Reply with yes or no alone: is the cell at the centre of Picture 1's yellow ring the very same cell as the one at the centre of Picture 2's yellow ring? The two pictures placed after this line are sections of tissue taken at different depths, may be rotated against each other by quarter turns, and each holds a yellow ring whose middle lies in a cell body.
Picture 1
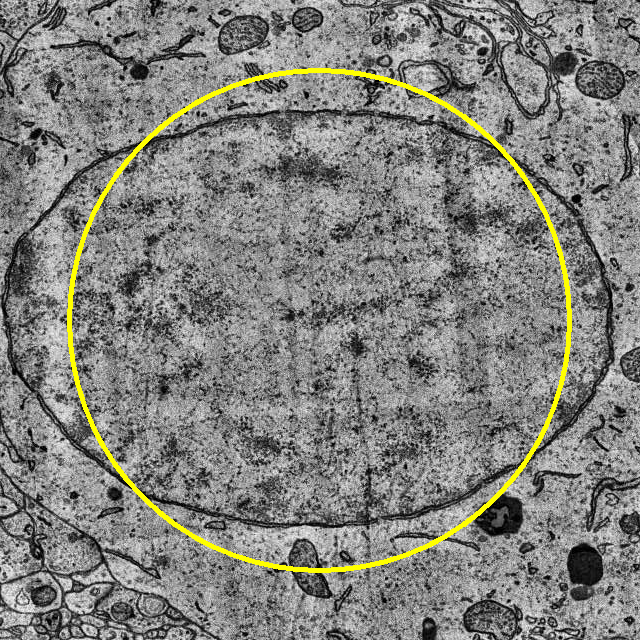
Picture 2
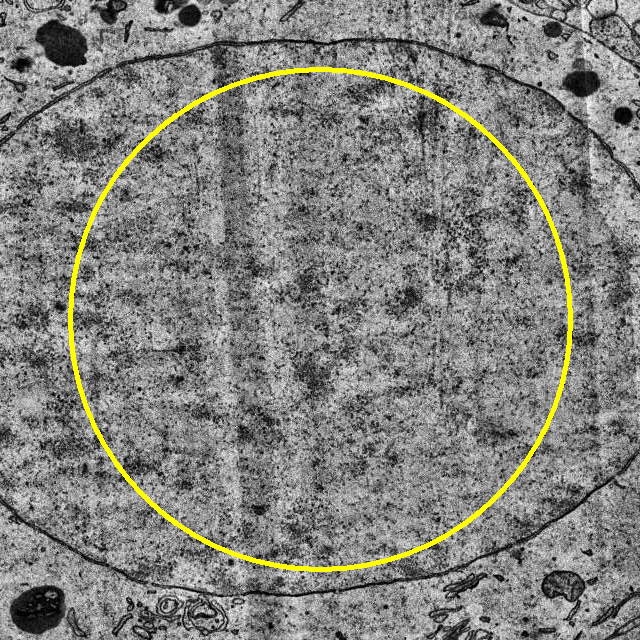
yes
